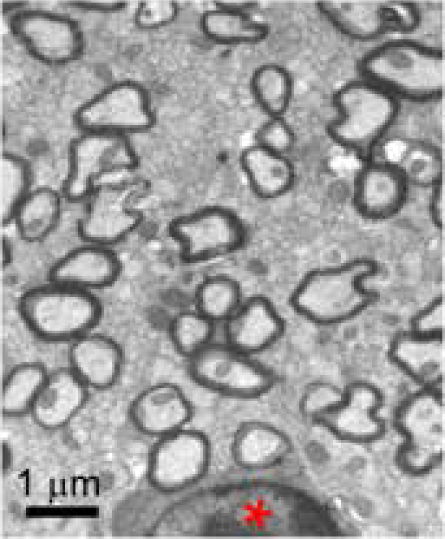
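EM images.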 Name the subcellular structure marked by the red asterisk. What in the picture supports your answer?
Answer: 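A large rounded grey body bounded by an envelope lies at the asterisk. It is much larger than the surrounding sheathed profiles.
Answer: nuclei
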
